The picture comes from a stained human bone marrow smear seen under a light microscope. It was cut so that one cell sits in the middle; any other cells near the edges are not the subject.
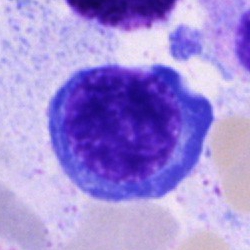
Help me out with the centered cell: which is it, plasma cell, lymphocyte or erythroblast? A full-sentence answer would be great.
In the crop, the cell of interest at the centre is an erythroblast.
